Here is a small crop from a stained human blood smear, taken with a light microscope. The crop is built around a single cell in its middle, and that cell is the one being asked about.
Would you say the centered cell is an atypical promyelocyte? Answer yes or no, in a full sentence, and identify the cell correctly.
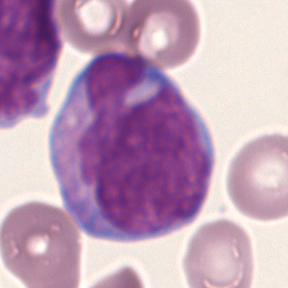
Yes, in the centre of this field sits an atypical promyelocyte.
